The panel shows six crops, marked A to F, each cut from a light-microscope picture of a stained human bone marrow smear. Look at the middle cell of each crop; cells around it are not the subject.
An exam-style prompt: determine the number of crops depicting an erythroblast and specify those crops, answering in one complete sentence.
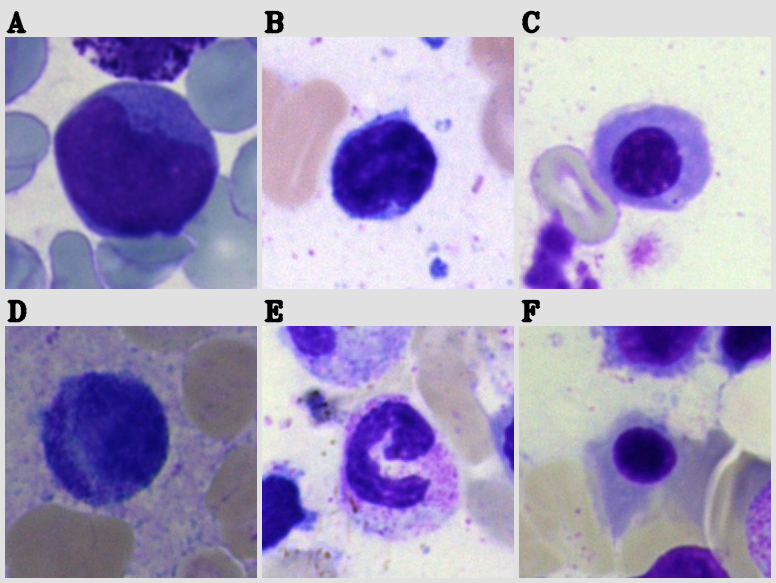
The cells at the centre of crops C and F are erythroblasts, two crops in all.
